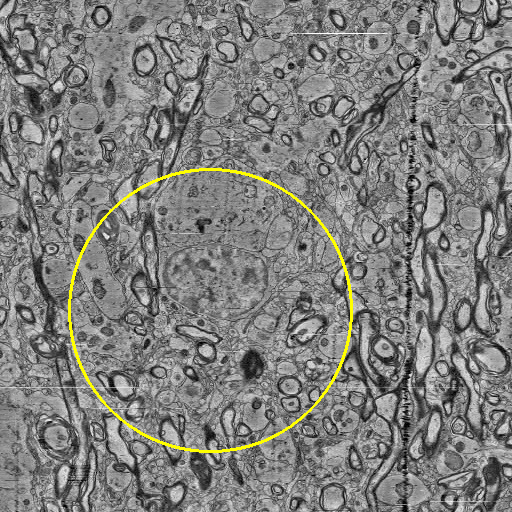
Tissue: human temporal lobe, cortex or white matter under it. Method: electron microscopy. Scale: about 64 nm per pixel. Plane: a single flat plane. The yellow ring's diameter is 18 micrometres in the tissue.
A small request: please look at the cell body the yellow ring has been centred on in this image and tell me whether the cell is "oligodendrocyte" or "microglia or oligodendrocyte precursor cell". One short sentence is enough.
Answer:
The cell marked by the ring is an oligodendrocyte.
